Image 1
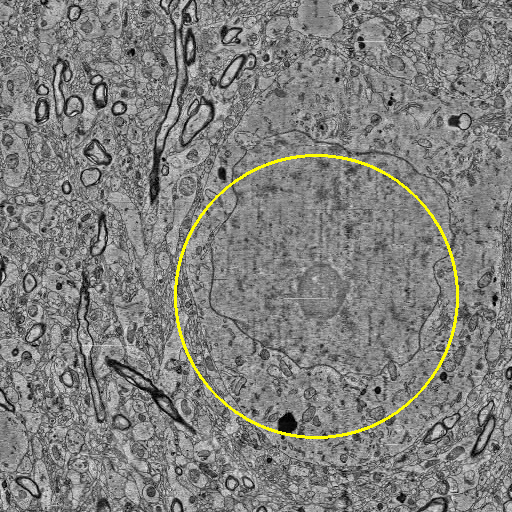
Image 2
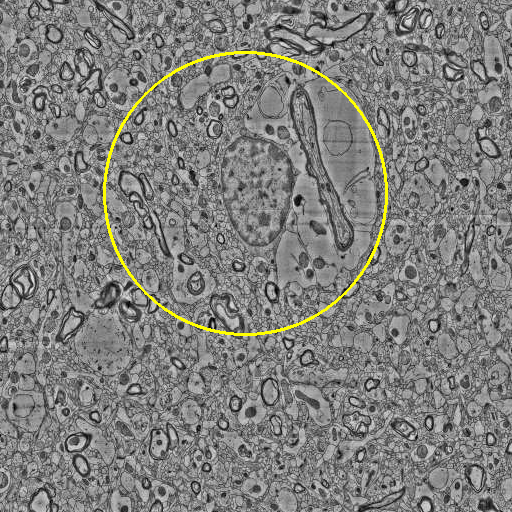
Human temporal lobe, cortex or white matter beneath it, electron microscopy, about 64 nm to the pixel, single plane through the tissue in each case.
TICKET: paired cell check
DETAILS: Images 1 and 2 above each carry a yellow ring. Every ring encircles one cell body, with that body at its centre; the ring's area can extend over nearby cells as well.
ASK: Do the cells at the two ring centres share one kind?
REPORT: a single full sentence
No, the ring-centre cells of Images 1 and 2 belong to two kinds.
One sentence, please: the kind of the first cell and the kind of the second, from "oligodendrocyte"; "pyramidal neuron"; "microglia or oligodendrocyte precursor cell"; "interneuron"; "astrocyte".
The ring in the first picture surrounds a pyramidal neuron, and the ring in the second surrounds an oligodendrocyte.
